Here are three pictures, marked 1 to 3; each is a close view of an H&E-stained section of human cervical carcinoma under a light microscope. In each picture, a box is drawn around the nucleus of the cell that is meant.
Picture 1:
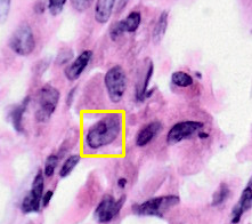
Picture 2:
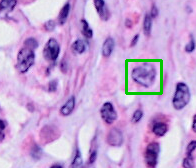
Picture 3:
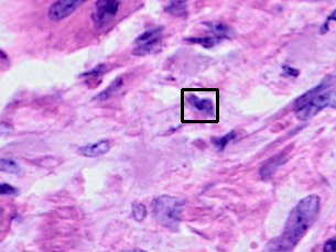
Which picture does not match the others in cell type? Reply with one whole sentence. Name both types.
The different one is picture 3; it shows a fibroblast, whereas all the others show “macrophages or monocytes”.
